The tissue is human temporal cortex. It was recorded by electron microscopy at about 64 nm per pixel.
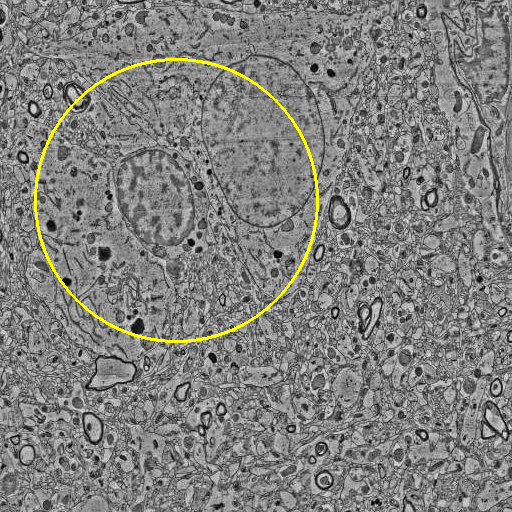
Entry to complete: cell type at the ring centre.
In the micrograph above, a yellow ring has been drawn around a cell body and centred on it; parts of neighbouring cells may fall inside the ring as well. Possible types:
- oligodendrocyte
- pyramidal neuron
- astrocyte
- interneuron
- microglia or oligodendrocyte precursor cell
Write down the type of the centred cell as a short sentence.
The ring is centred on an oligodendrocyte.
